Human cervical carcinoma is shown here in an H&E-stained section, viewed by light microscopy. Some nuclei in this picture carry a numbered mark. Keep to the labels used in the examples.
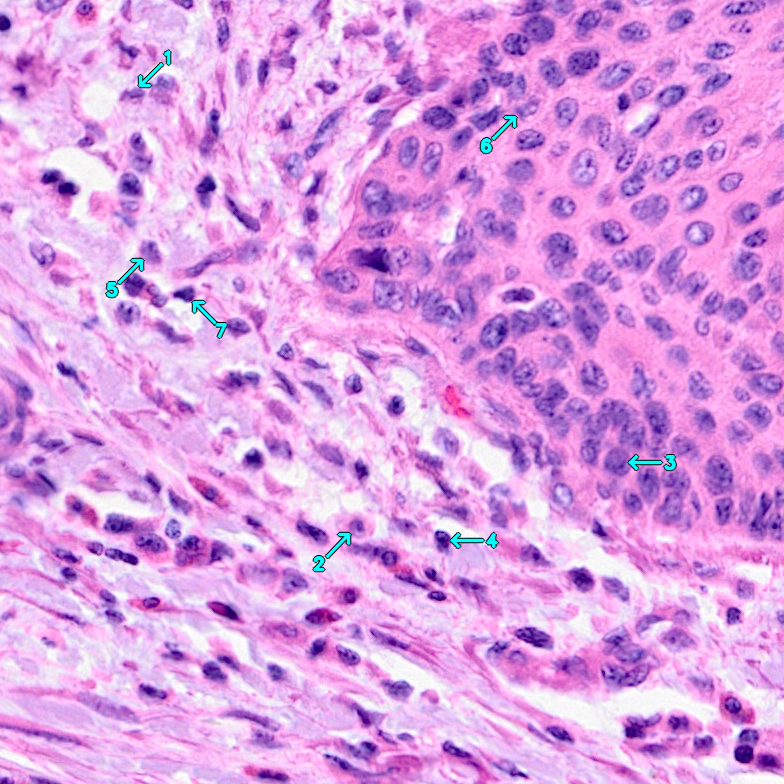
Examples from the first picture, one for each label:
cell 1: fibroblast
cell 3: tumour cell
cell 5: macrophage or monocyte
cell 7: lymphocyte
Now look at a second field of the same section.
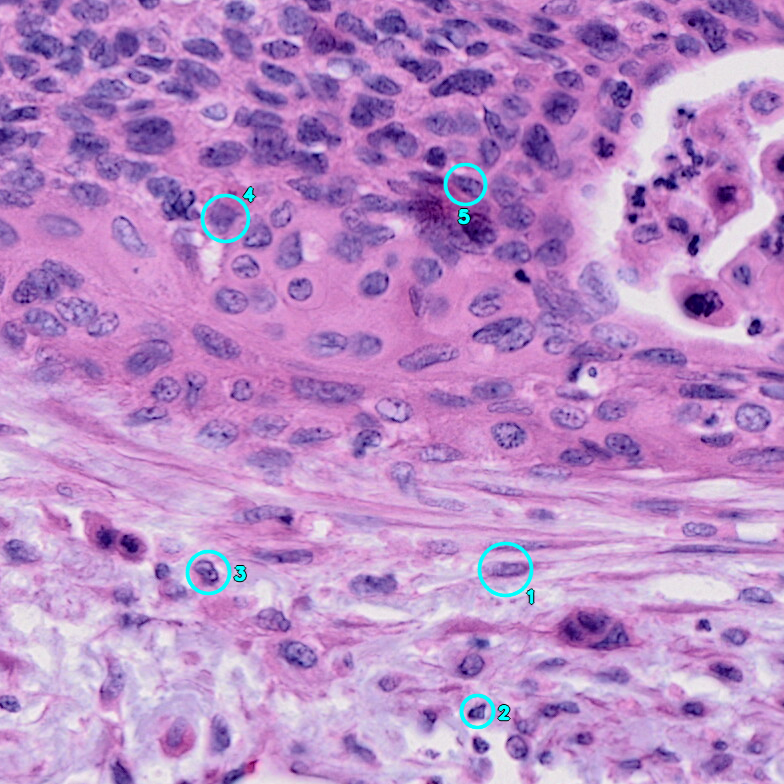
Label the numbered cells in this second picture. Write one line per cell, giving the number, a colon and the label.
1: fibroblast
2: lymphocyte
3: macrophage or monocyte
4: tumour cell
5: tumour cell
